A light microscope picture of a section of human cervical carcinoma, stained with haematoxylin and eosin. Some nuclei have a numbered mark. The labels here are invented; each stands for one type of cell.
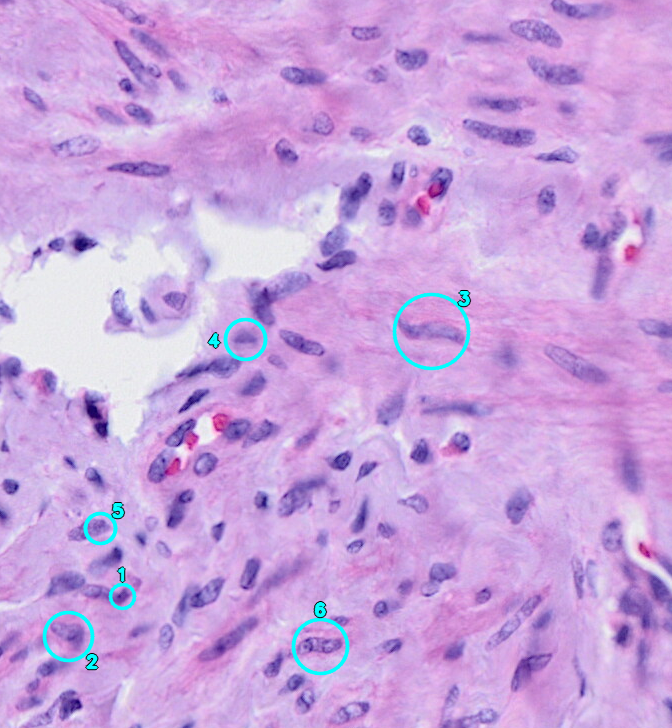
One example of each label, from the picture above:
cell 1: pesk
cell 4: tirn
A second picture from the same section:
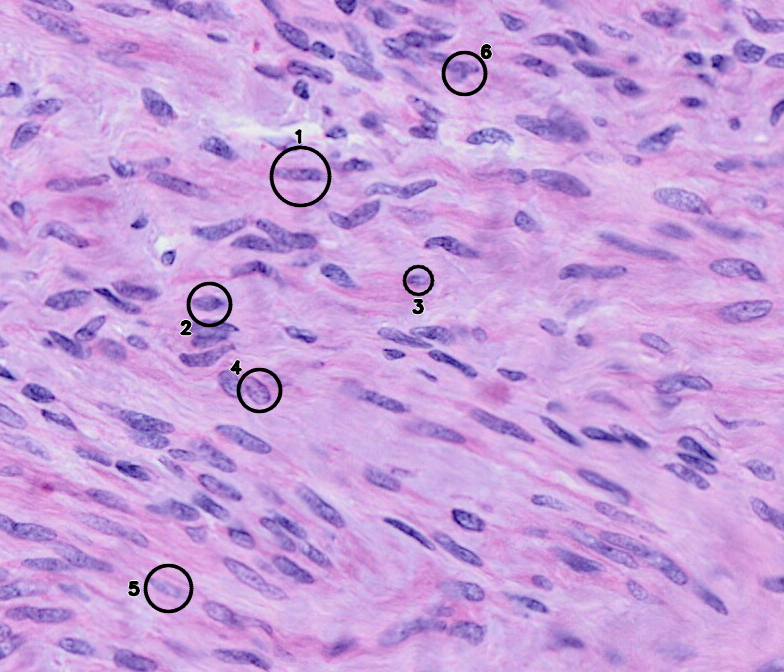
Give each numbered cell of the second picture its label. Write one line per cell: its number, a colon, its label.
1: pesk
2: tirn
3: pesk
4: pesk
5: pesk
6: tirn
